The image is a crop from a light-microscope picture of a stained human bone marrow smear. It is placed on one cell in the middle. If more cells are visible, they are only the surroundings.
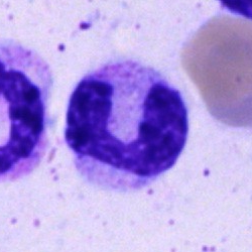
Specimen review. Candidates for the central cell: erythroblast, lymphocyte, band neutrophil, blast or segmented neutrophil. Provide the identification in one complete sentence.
The middle of this crop holds a band neutrophil.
